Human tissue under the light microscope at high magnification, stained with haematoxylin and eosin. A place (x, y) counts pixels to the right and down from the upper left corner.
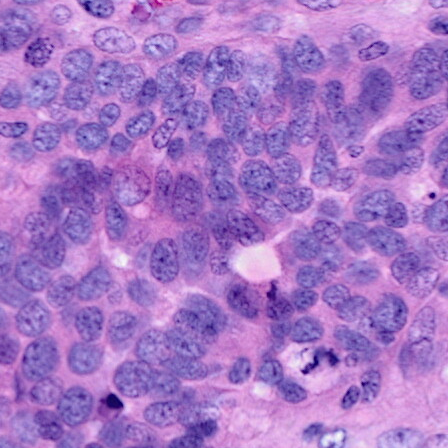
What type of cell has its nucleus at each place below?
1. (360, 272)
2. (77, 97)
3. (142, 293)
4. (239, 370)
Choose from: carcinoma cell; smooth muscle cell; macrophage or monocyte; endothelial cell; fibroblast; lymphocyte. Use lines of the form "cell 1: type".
cell 1: carcinoma cell
cell 2: carcinoma cell
cell 3: carcinoma cell
cell 4: macrophage or monocyte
